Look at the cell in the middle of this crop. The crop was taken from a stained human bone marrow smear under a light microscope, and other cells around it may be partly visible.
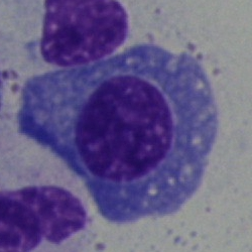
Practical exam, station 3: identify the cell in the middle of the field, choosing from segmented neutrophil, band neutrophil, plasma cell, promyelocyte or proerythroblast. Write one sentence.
The cell centered in this field of view is a plasma cell.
